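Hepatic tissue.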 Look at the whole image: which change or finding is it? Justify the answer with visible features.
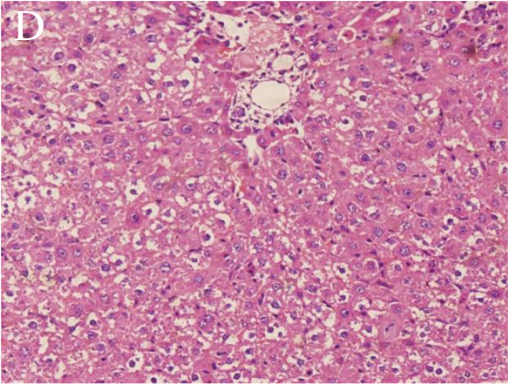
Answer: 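Swelling. Many liver cells are enlarged with pale, clear or vacuolated cytoplasm. The regular plate arrangement of cells is hard to make out. Sinusoidal spaces are largely compressed.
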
